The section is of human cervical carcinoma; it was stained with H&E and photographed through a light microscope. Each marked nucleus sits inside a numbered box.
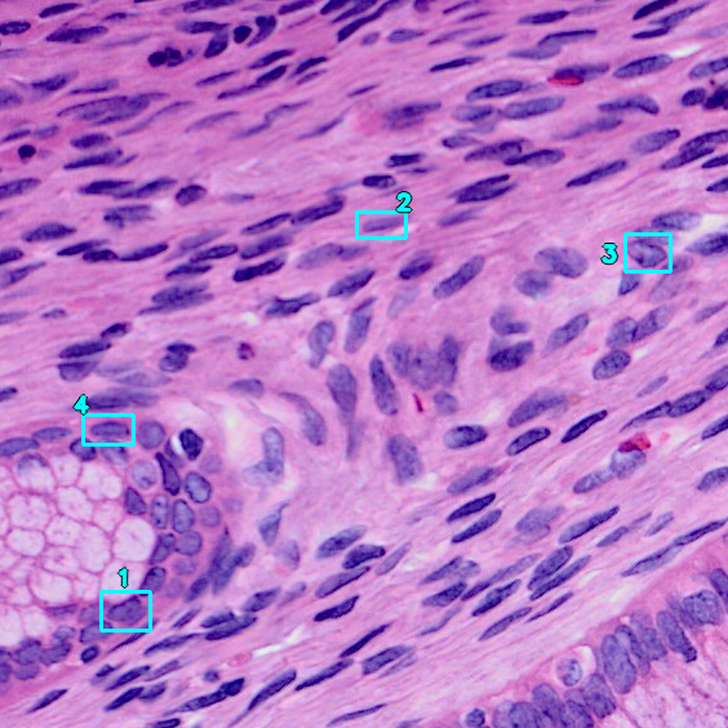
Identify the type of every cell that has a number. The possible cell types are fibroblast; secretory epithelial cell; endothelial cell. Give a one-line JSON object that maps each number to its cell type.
{"1": "secretory epithelial cell", "2": "fibroblast", "3": "endothelial cell", "4": "secretory epithelial cell"}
